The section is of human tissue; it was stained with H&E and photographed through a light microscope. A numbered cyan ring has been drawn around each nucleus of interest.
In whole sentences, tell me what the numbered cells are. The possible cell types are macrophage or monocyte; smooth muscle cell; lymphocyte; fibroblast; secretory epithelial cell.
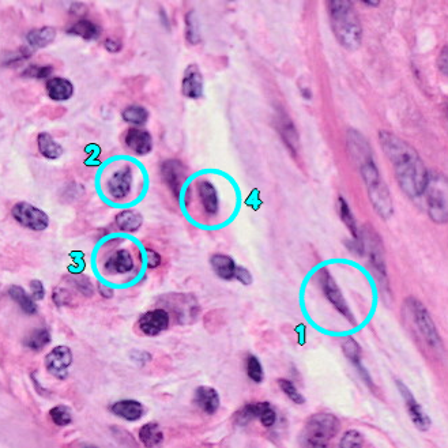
Cell 1 is a fibroblast. Cells 2, 3 and 4 are lymphocytes.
